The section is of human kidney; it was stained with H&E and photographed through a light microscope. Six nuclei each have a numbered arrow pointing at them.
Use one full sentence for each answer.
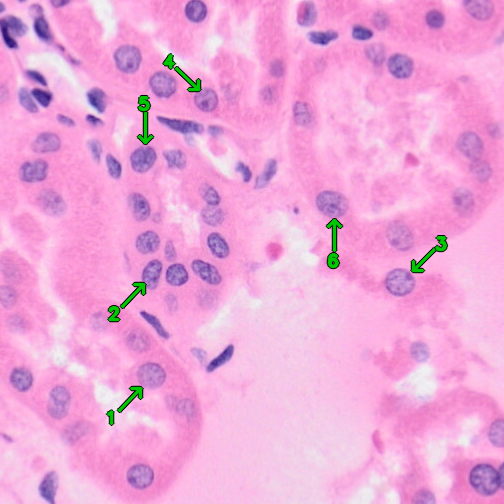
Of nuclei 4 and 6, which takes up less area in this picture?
The smaller nucleus is 4, and 6 covers roughly 1.5 times its area.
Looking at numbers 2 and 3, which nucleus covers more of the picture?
The larger nucleus is 3, at roughly 1.5 times the area of 2.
